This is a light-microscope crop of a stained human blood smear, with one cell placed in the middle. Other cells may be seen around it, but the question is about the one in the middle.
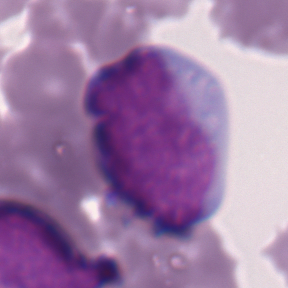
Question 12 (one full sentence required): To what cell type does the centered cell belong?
The cell marked by its central position in the crop is a blast.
